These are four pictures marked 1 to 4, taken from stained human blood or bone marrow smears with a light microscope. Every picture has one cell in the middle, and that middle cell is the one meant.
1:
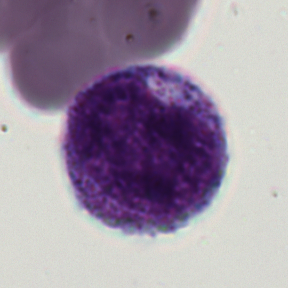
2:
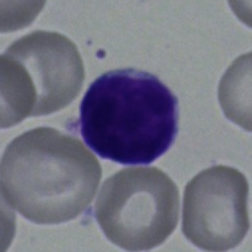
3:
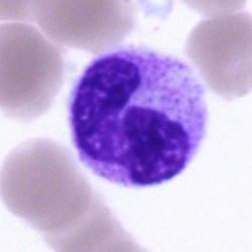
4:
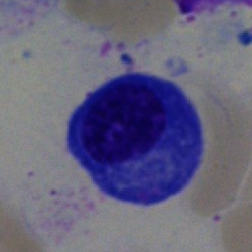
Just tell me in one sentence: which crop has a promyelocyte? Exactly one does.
So the crop with a promyelocyte at its center is crop 1.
